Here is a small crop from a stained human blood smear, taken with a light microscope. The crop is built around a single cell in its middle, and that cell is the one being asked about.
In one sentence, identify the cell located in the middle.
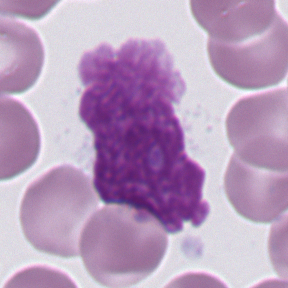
In short, the cell at the center is a smudge cell.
